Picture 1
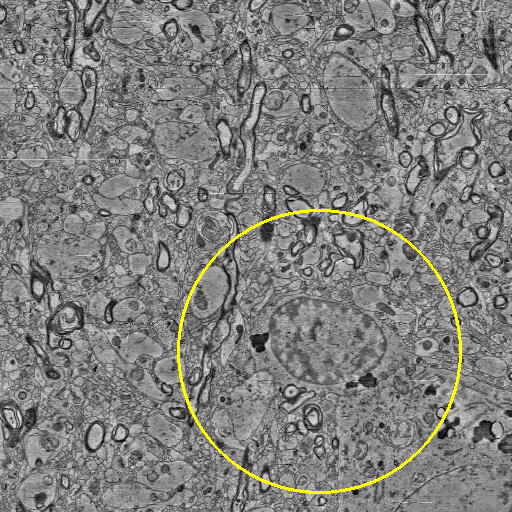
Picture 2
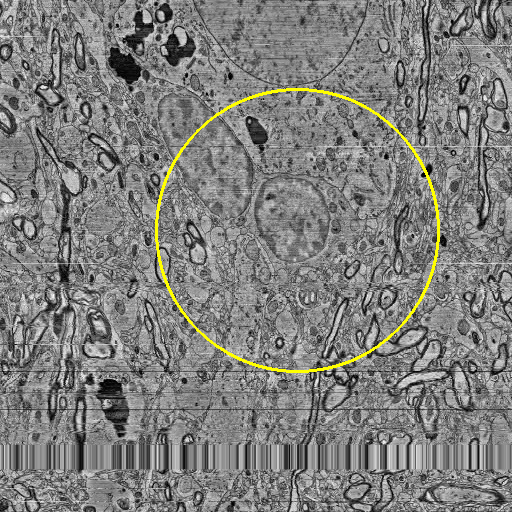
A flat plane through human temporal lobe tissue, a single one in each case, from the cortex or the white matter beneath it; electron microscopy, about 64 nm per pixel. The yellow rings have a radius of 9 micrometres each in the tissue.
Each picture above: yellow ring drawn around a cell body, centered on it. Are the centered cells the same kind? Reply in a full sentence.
Yes, the two cells are the same kind.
